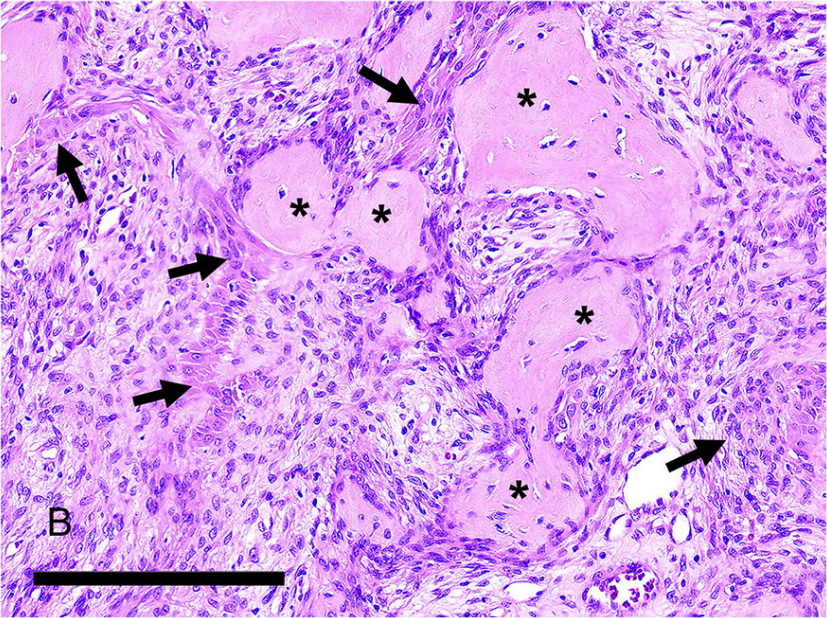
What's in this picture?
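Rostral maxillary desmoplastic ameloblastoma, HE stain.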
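This tumor tissue shows cords of epithelium running through a densely cellular background in which spindle and polygonal cells with oval, purple nuclei are packed closely together. Scattered through it are rounded islands of homogeneous, pale pink osseous matrix that hold a few small cells in lacuna-like spaces. The epithelial cords, with somewhat more pink cytoplasm, often lie right against the edges of these islands. Elsewhere, epithelial cells are hard to tell apart from the surrounding stromal cells.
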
